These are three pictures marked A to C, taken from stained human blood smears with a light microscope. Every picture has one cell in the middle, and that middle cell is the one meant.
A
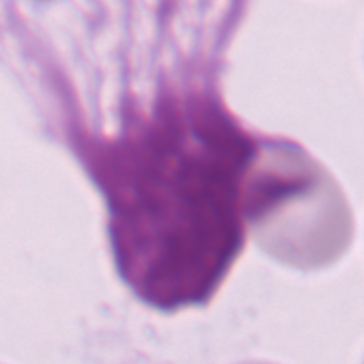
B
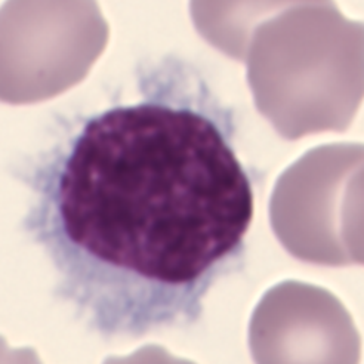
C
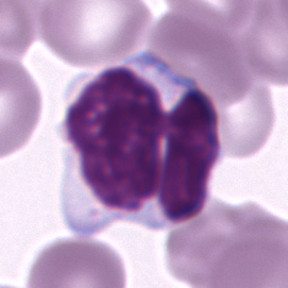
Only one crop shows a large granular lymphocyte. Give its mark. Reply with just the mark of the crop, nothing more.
C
